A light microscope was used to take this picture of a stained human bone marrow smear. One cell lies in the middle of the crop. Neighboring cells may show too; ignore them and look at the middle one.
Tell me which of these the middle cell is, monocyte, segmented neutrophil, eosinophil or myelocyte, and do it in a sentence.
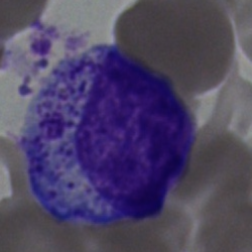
The cell in the exact centre of the crop is a myelocyte.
